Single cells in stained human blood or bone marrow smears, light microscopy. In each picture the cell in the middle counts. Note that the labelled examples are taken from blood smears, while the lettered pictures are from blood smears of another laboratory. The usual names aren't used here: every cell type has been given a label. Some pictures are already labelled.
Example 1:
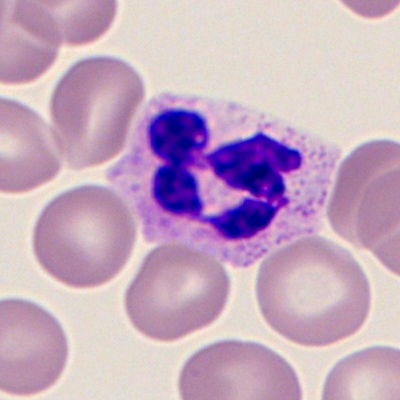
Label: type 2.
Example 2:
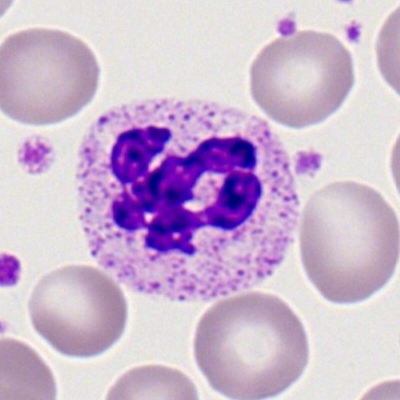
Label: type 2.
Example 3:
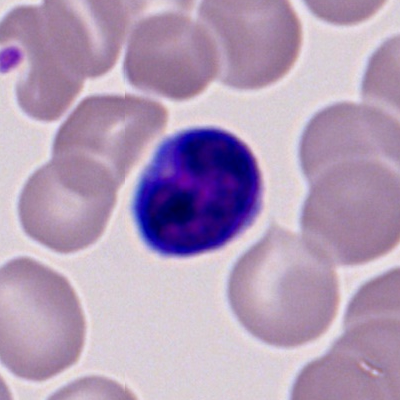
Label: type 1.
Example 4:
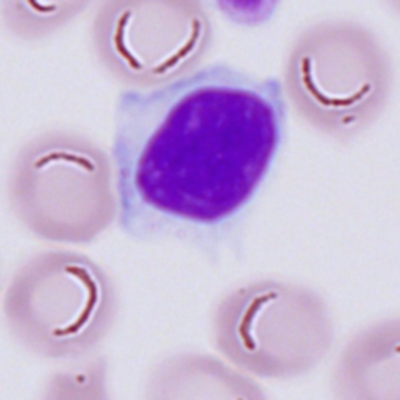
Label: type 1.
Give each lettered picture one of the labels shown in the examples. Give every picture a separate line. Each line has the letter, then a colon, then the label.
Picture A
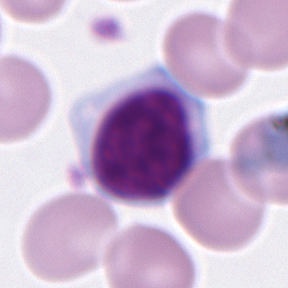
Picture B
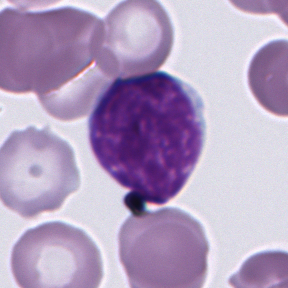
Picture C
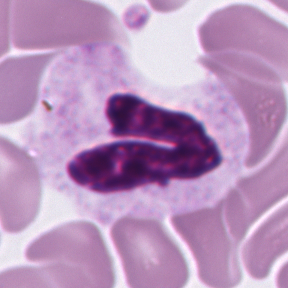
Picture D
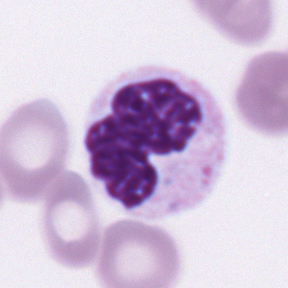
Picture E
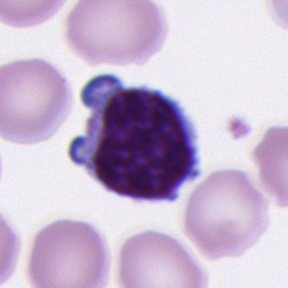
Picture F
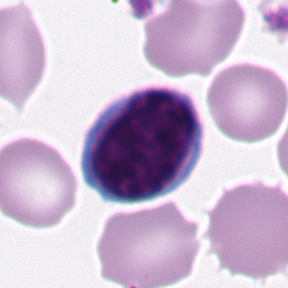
A: type 1.
B: type 1.
C: type 2.
D: type 2.
E: type 1.
F: type 1.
